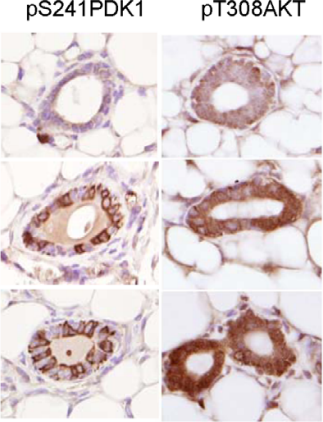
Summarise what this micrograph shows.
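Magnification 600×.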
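These are small ducts of the mammary gland cut across, each lying within fatty tissue. A thin band of stromal cells with flattened nuclei wraps each duct. Around them lie large fat cells, seen as big clear spaces outlined by thin membranes. In some of the small images the epithelial cells take up a strong brown stain in their cytoplasm, while in others the epithelium is mostly blue with only faint brown. The fat cells and stroma stay largely unstained.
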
